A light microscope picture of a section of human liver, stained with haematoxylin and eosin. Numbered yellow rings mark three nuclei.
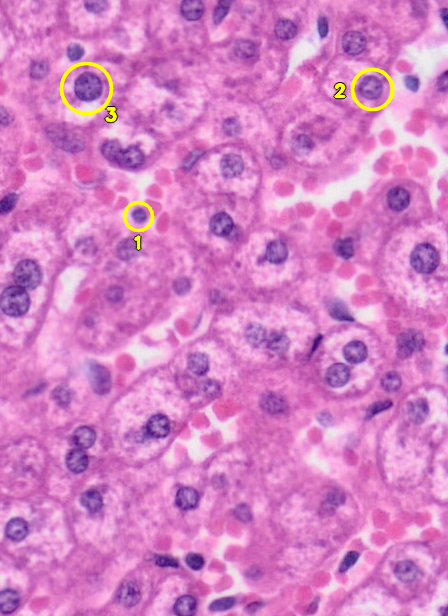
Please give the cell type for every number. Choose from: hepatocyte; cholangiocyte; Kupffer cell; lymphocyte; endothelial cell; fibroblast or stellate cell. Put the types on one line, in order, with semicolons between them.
lymphocyte; hepatocyte; hepatocyte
